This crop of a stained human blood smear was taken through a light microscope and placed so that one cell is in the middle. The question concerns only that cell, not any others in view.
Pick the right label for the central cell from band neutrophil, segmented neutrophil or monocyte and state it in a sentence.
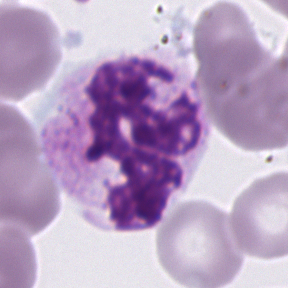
The identification for the central cell is a segmented neutrophil.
